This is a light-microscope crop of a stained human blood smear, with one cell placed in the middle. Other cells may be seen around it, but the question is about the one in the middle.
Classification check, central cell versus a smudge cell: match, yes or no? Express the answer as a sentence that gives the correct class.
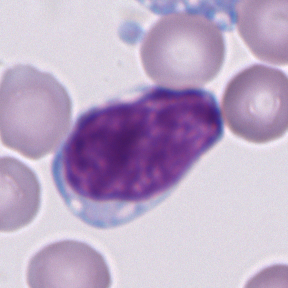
No, the central cell is classed as a myeloblast and not as a smudge cell.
